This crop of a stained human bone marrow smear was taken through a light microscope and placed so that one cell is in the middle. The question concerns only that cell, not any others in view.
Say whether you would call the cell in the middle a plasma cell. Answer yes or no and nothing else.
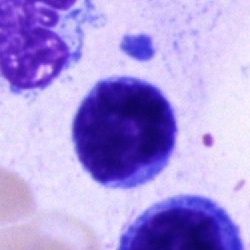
no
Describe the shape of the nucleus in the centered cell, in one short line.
A single compact nucleus is present, shaped round, oval or like a kidney.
